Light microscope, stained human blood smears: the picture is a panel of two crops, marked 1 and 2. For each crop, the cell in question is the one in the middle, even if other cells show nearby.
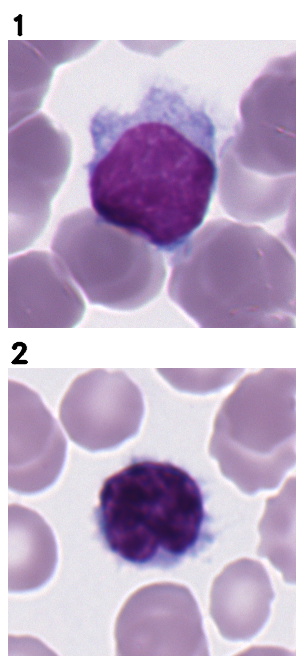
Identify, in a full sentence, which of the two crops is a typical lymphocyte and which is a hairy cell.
Crop 2 is a hairy cell, while crop 1 is a typical lymphocyte.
